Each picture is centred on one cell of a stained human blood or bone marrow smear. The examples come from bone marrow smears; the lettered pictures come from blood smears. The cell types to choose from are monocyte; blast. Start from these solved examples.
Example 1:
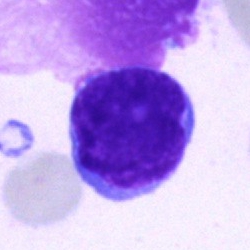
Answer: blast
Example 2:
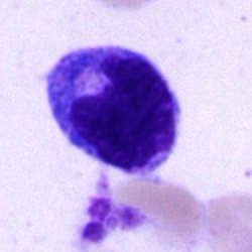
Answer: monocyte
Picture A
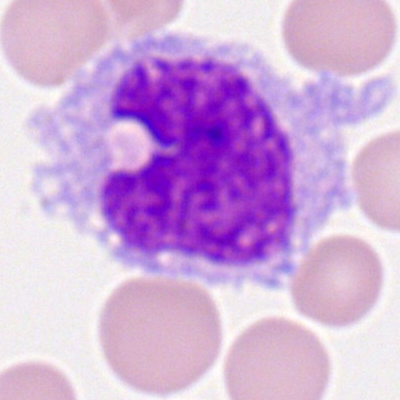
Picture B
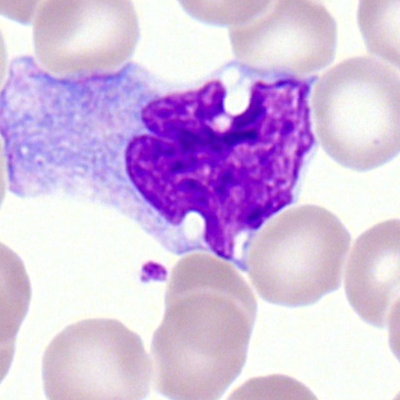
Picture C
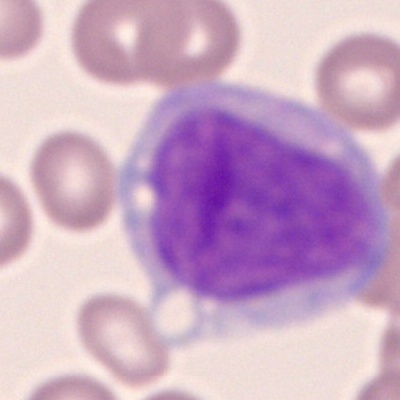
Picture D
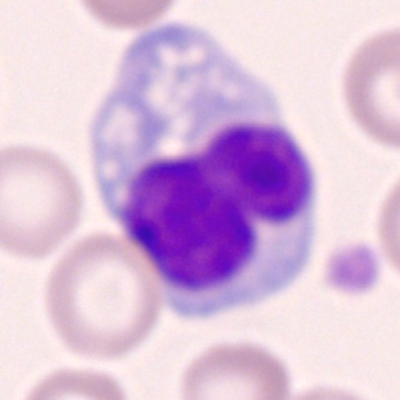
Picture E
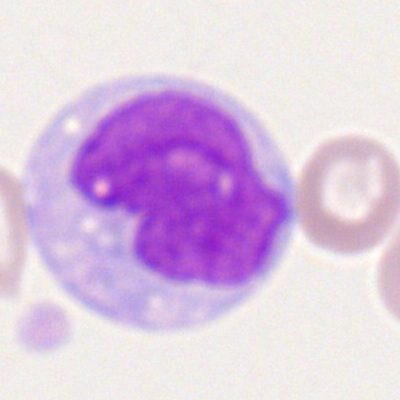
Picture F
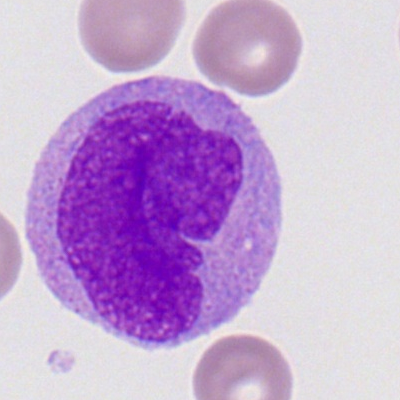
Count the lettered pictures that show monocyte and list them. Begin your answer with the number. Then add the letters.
4: A, B, D, E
